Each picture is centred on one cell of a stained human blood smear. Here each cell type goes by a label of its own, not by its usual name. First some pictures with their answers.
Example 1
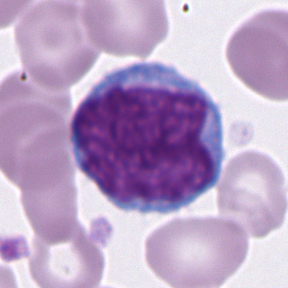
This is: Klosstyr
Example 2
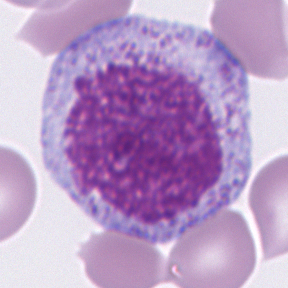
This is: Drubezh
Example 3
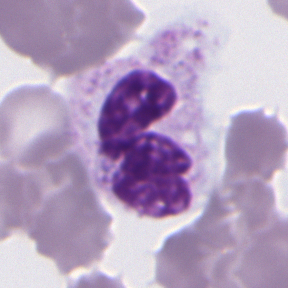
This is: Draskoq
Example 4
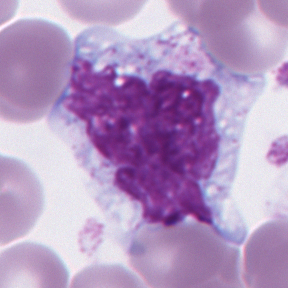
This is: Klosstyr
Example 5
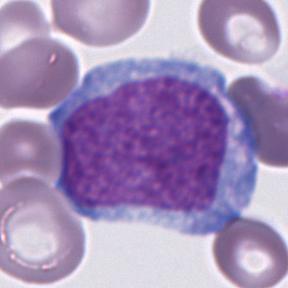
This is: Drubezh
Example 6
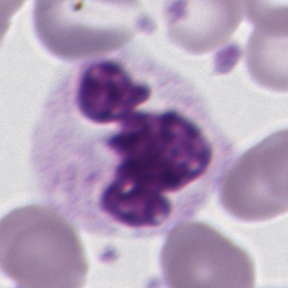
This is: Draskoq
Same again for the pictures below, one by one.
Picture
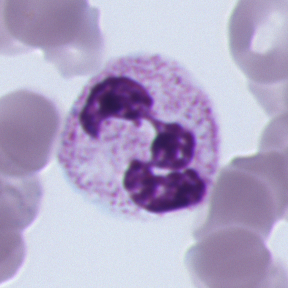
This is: Draskoq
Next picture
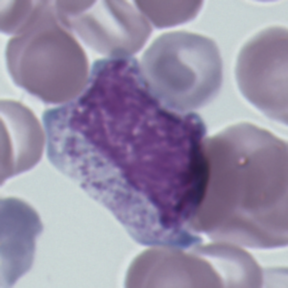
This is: Drubezh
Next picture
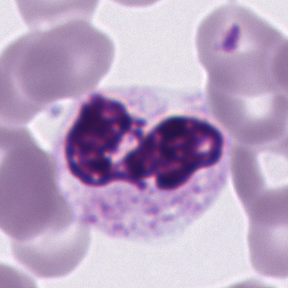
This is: Draskoq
